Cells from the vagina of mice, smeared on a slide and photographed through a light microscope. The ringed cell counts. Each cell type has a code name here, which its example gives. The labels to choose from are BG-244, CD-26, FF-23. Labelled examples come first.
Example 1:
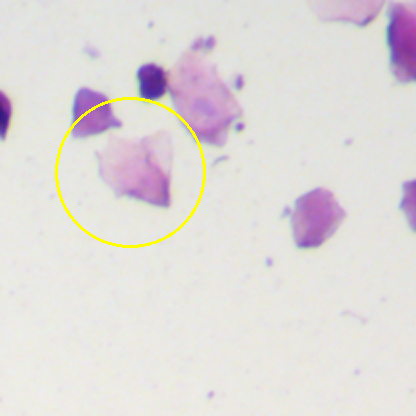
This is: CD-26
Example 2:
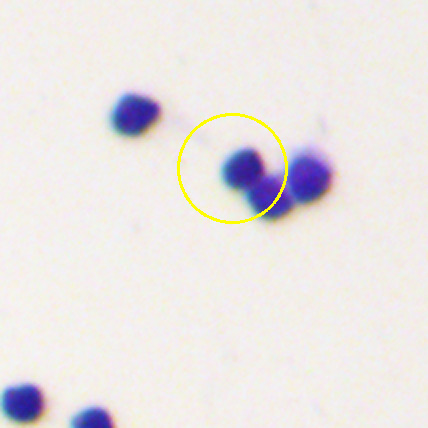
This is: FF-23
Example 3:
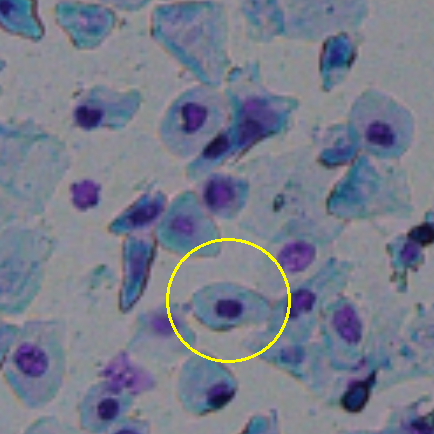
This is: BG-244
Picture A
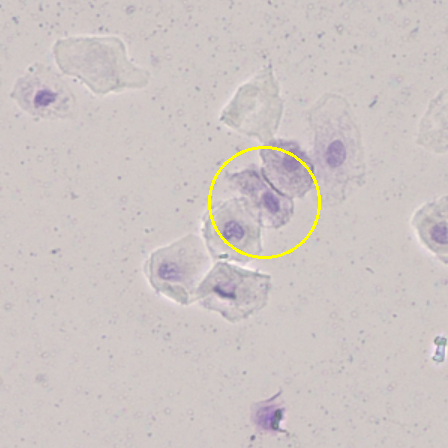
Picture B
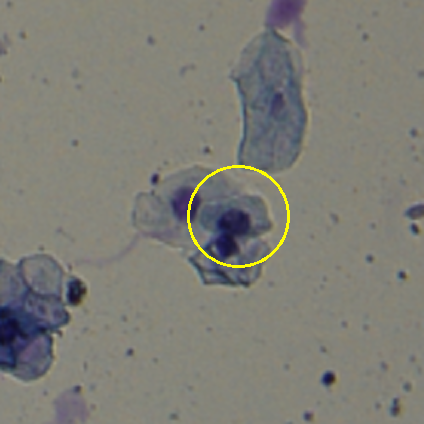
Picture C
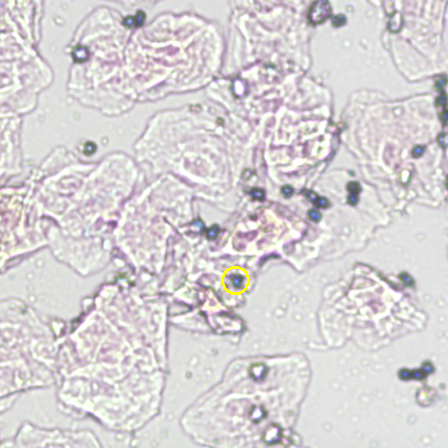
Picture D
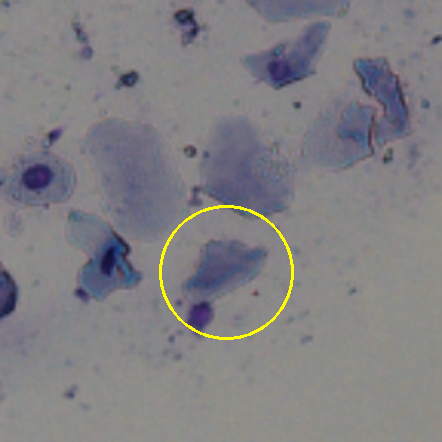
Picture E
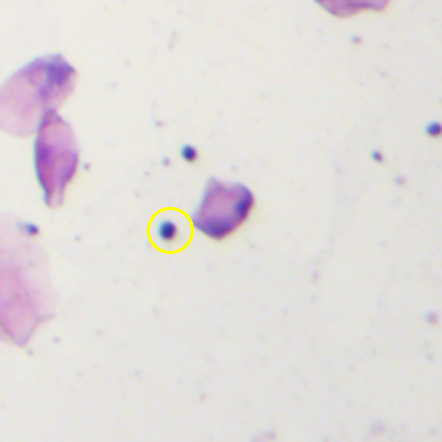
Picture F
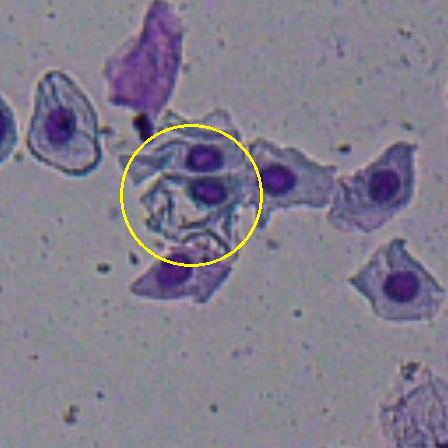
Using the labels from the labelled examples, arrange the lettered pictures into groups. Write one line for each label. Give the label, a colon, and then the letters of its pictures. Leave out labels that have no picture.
BG-244: A, B, F
CD-26: D
FF-23: C, E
